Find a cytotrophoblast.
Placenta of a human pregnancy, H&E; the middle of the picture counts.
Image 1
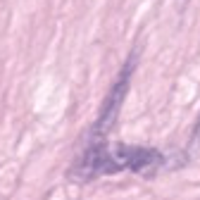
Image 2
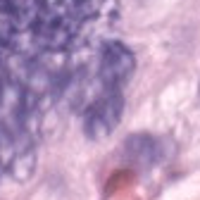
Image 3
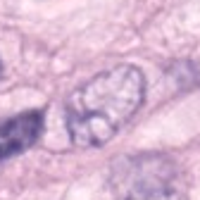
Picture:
3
